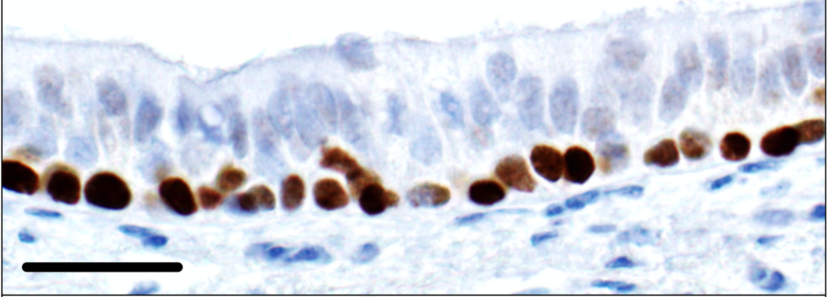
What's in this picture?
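This is tall pseudostratified airway epithelium in which a single row of small, rounded, dark brown nuclei lies flat against the basement membrane. These basal cells sit beneath taller columnar cells with oval, pale blue nuclei higher up and a fringed apical border facing the lumen. Below the epithelium lies connective tissue with scattered blue, spindle-shaped nuclei.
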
